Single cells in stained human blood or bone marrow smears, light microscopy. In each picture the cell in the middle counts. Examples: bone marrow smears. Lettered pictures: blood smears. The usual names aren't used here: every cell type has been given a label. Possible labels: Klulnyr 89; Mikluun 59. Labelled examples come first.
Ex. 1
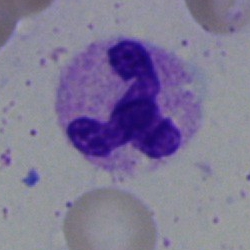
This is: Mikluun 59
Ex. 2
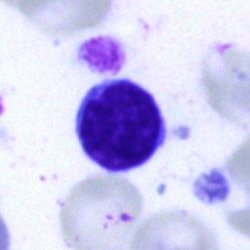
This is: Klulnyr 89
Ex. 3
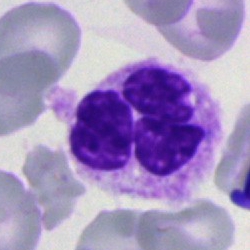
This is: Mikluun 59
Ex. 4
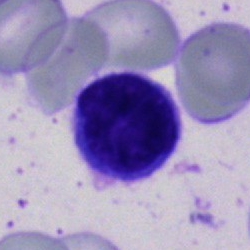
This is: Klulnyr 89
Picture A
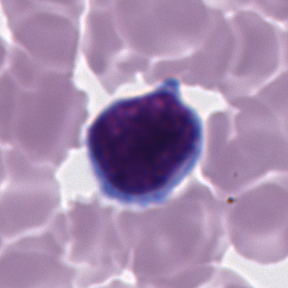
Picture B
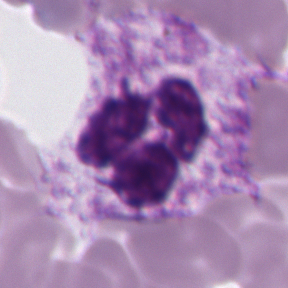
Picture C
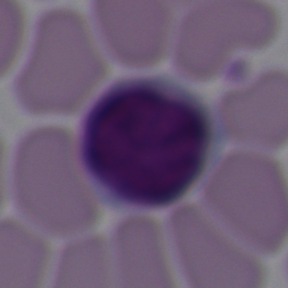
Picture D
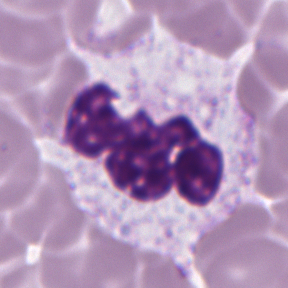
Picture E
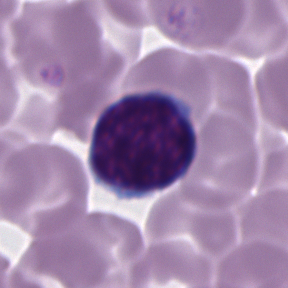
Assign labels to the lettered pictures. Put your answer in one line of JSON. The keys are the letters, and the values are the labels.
{"A": "Klulnyr 89", "B": "Mikluun 59", "C": "Klulnyr 89", "D": "Mikluun 59", "E": "Klulnyr 89"}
